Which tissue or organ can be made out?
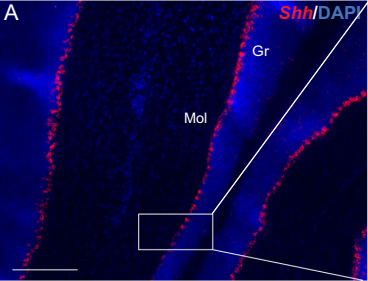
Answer: cerebellum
